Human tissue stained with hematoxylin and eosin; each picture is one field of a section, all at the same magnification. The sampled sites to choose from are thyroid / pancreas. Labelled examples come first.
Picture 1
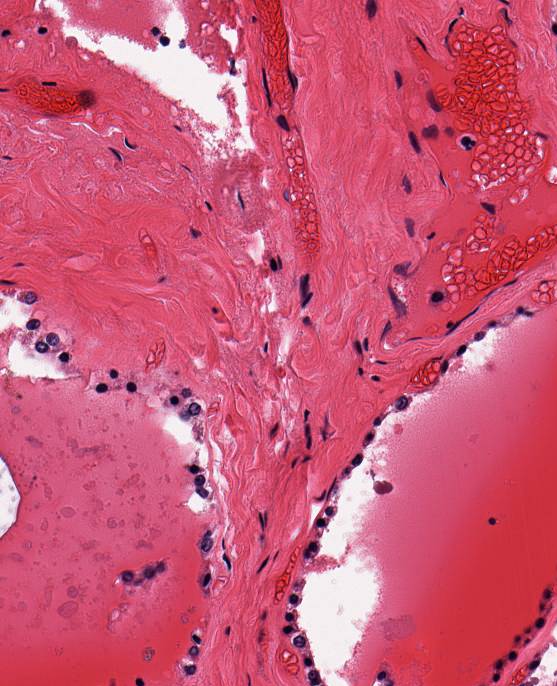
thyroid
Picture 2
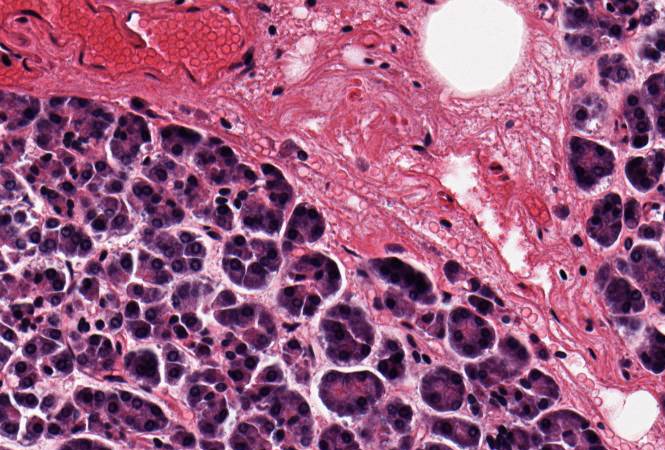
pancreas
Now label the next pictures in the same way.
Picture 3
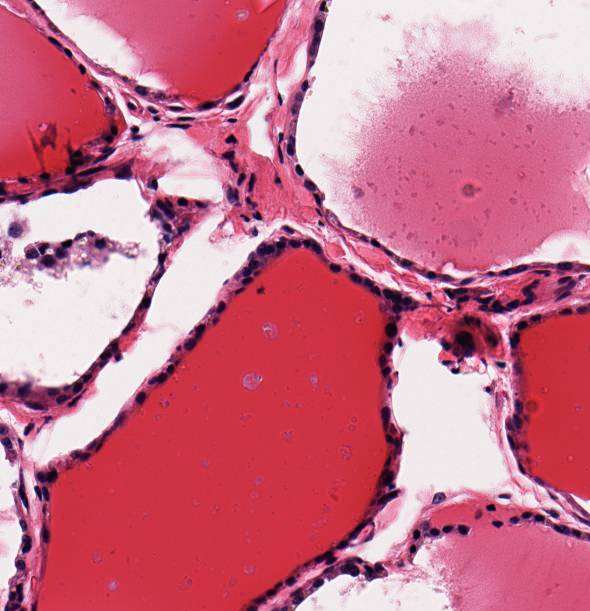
thyroid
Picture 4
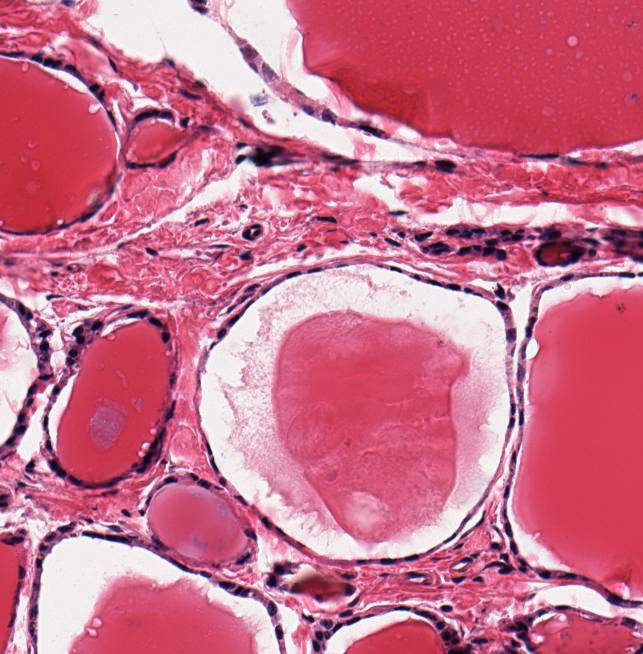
thyroid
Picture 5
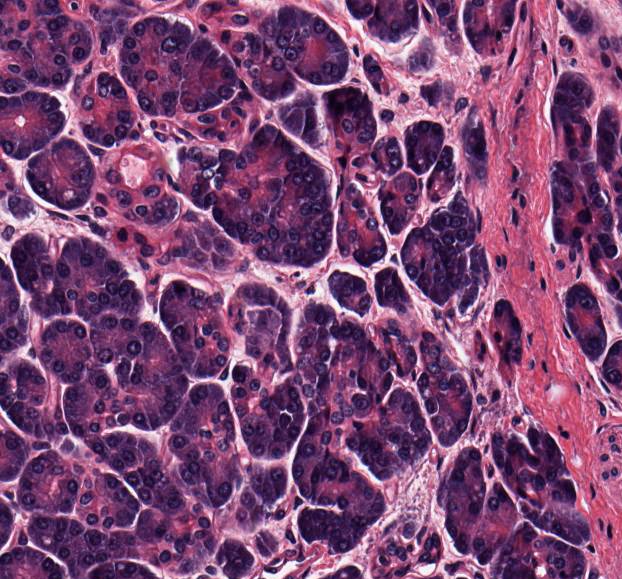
pancreas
